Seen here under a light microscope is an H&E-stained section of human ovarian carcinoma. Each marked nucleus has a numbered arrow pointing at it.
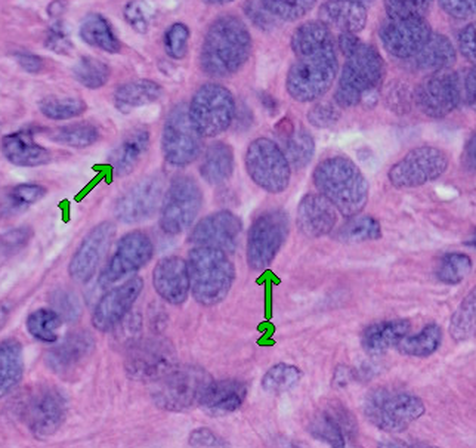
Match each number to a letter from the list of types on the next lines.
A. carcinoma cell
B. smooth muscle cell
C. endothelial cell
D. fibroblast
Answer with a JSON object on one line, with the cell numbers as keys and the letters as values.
{"1": "D", "2": "A"}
